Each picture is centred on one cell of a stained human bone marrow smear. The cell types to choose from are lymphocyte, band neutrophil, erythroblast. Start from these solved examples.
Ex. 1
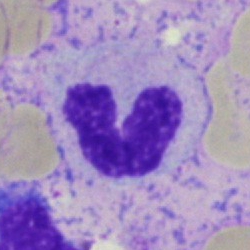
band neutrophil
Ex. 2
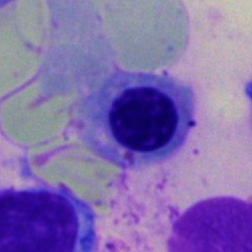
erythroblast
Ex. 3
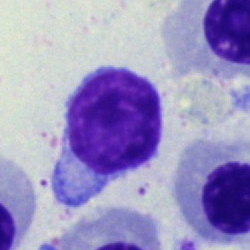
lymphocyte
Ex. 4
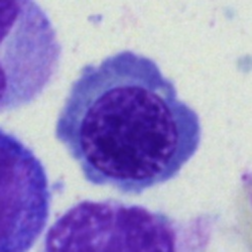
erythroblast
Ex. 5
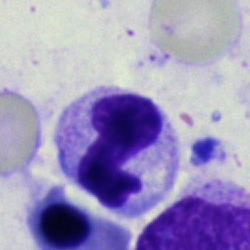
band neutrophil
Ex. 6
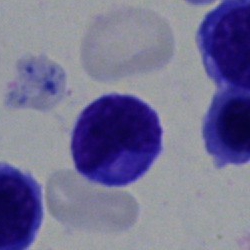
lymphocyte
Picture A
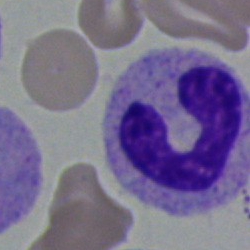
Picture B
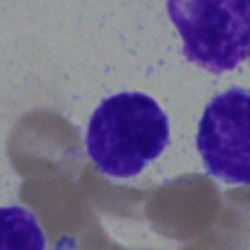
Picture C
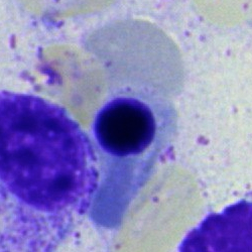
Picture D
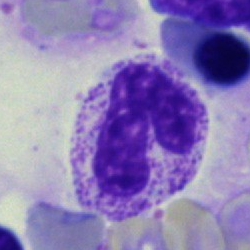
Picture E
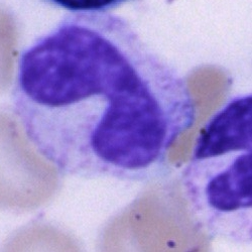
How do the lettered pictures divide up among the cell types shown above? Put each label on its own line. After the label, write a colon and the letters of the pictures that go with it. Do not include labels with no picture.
lymphocyte: B
band neutrophil: A, D, E
erythroblast: C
